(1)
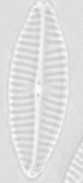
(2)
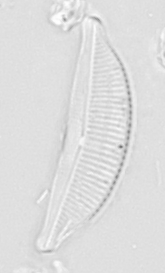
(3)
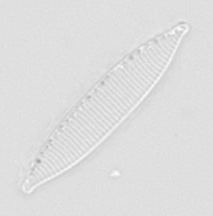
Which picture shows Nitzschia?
Picture 3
